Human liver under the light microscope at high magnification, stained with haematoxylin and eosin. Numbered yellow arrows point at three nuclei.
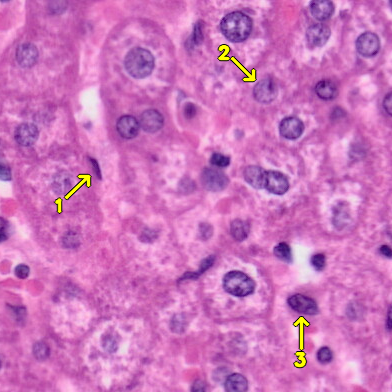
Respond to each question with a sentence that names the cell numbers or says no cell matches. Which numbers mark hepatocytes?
Among the marked cells, cell number 2 alone is a hepatocyte.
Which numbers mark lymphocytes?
No numbered cell in this section is one of the lymphocytes.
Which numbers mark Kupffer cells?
It is cell 3, and no other numbered cell, that is a Kupffer cell.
